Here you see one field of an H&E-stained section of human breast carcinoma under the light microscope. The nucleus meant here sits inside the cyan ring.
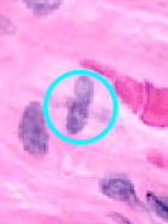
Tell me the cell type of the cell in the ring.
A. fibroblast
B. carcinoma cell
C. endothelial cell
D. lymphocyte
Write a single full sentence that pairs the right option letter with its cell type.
The choice that fits is option C, as the cell in the ring is an endothelial cell.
